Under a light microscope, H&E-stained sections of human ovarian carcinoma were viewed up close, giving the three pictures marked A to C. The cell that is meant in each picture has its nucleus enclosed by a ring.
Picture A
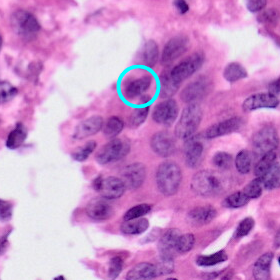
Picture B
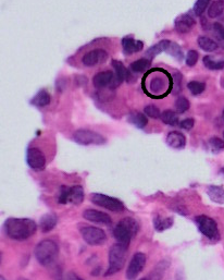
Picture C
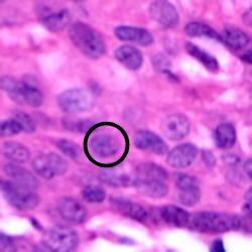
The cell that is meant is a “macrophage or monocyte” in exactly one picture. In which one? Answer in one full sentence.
The picture with the “macrophage or monocyte” is A.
